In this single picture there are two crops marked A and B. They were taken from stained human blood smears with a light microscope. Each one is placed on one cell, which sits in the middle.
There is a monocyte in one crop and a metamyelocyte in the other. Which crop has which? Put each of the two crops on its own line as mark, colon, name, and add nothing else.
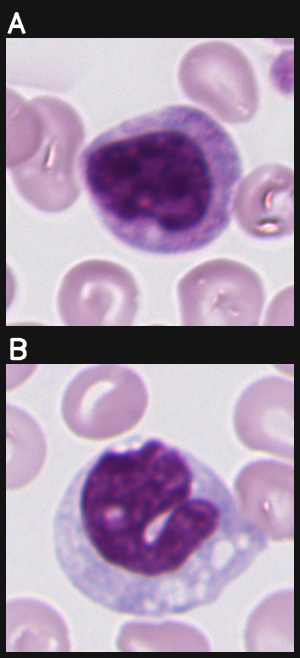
A: metamyelocyte
B: monocyte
